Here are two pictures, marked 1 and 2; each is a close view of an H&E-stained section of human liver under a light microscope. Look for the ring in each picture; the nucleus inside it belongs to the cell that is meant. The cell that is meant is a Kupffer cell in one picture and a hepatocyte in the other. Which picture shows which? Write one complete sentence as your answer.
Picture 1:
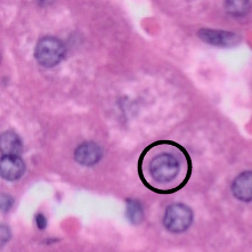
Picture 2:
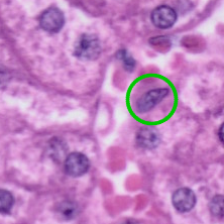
Picture 1 is of a hepatocyte, and picture 2 is of a Kupffer cell.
